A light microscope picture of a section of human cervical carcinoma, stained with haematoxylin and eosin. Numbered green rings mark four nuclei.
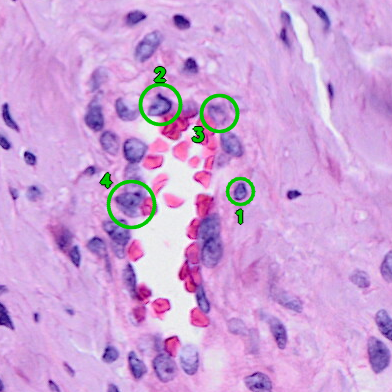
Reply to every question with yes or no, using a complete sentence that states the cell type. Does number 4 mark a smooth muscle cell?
No, cell 4 represents an endothelial cell rather than a smooth muscle cell.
